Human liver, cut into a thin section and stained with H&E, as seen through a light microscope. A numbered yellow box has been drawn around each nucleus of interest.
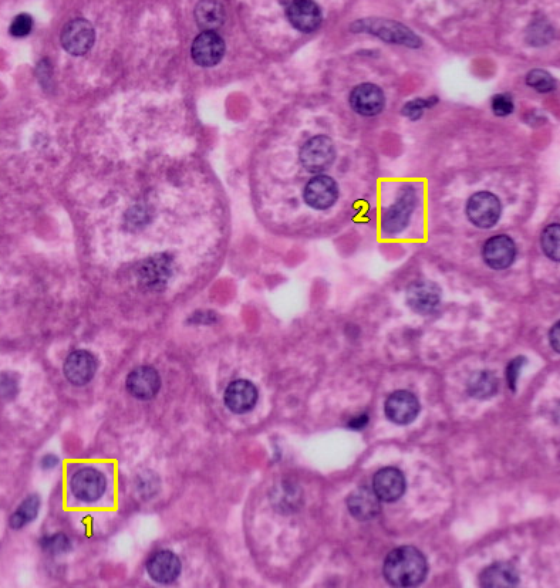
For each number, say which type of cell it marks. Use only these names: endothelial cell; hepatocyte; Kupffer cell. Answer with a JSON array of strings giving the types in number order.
["hepatocyte", "Kupffer cell"]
